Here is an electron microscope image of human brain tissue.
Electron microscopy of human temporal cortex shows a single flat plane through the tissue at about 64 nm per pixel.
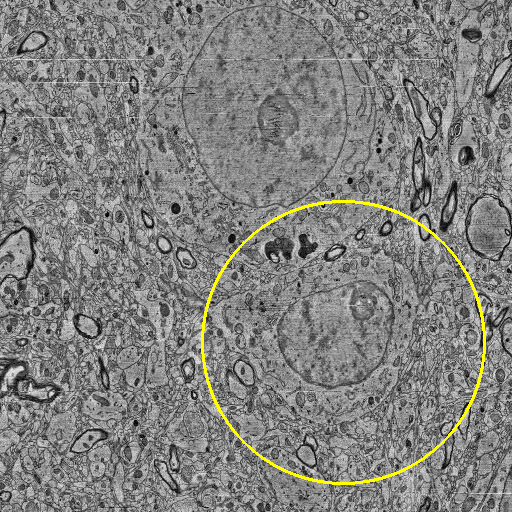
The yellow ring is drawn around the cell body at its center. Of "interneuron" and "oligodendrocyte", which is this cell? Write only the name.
interneuron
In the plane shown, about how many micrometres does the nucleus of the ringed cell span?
The nucleus is approximately 7 micrometers across in this plane.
